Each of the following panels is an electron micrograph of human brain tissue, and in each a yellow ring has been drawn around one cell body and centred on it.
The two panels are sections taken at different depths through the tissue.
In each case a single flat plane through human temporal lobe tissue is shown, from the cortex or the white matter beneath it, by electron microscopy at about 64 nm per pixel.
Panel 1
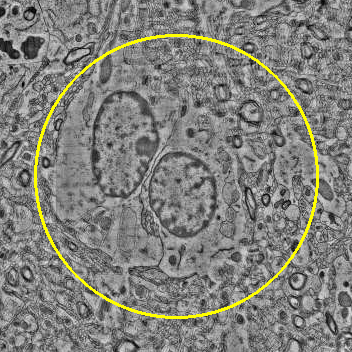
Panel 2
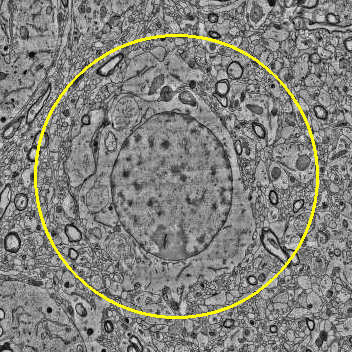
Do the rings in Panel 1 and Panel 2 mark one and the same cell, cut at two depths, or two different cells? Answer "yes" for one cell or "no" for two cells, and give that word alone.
yes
